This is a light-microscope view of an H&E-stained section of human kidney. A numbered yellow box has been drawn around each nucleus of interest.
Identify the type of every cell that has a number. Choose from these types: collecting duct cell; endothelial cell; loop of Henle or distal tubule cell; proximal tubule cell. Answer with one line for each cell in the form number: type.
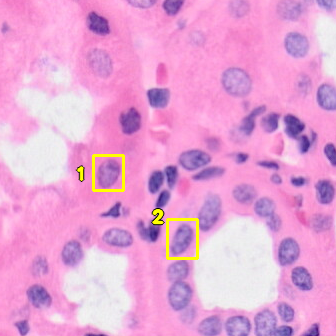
1: proximal tubule cell
2: collecting duct cell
